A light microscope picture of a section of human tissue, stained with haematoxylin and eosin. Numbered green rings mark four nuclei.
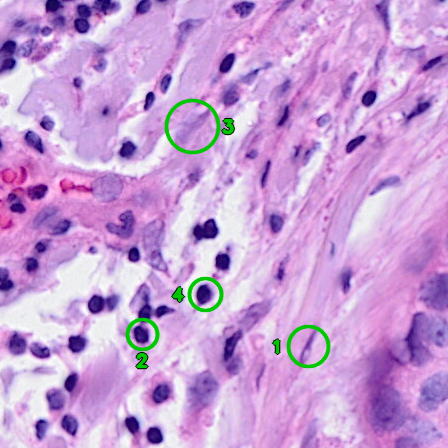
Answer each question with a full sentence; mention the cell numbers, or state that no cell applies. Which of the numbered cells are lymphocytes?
The cells marked with the numbers 2 and 4 are lymphocytes.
